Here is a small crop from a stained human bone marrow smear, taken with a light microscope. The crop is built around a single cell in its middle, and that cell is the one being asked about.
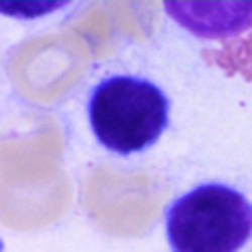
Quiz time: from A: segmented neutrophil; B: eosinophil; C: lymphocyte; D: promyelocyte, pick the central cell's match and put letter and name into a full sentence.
The centrally positioned cell is a lymphocyte, consistent with option C, which is correct.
